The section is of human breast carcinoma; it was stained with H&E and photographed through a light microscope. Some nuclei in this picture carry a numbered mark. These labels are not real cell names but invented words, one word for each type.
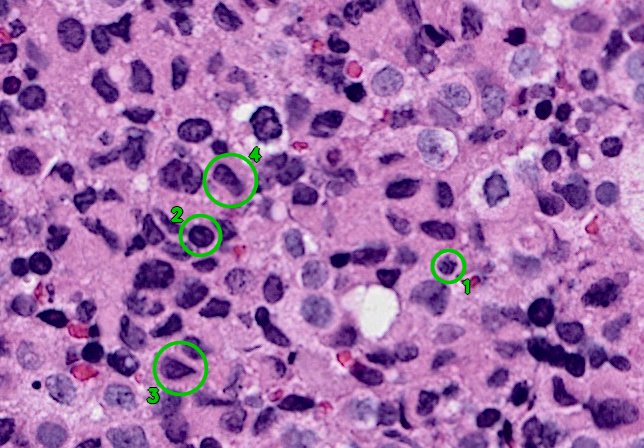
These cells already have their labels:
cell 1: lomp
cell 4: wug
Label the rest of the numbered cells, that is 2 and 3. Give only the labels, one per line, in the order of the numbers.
wug
wug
